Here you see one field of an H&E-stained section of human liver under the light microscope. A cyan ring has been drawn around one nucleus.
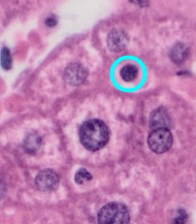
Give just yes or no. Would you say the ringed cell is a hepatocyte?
no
